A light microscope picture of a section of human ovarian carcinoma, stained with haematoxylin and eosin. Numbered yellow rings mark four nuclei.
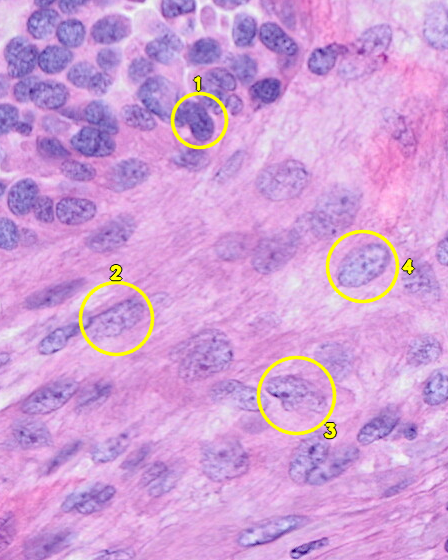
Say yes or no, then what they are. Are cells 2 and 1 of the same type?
No, cell 2 is a fibroblast and cell 1 is a carcinoma cell.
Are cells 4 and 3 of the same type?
Yes, both are fibroblasts.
